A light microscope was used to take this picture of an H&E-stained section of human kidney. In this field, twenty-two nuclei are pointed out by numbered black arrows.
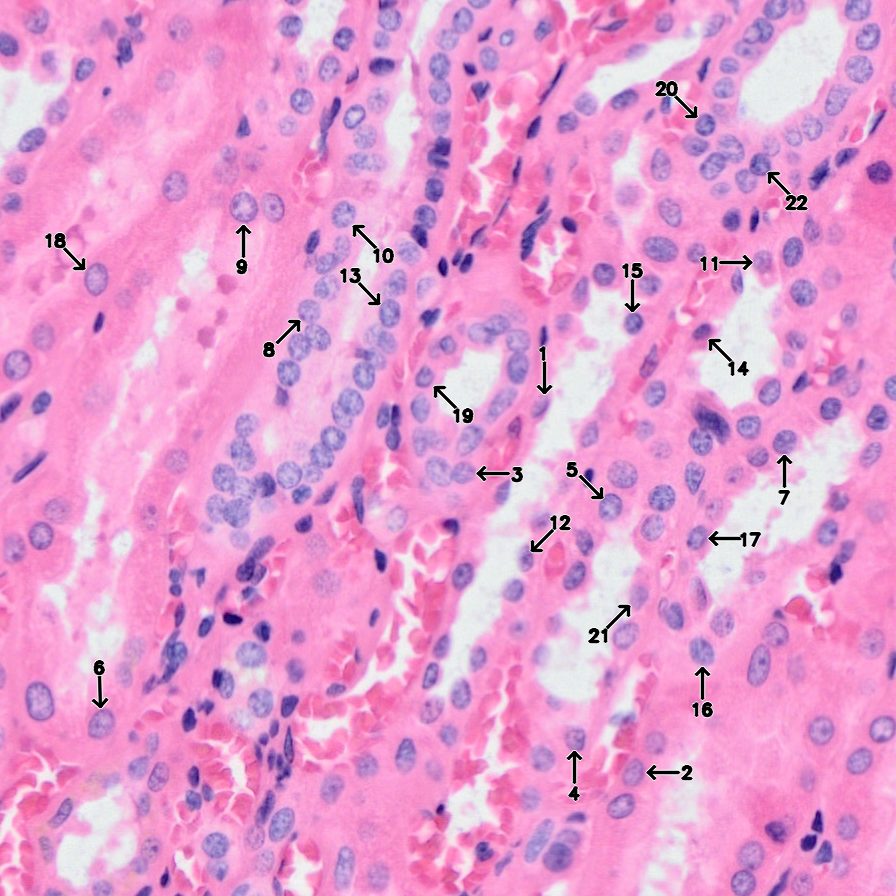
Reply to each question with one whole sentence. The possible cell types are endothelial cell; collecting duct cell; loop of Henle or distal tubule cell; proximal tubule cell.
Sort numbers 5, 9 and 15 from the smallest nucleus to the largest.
From smallest to largest, the order is 15, 5, 9.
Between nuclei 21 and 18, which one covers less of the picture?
With nucleus 18 about 1.5 times its size, nucleus 21 is the smaller of the two.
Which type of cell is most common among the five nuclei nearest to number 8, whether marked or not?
Collecting duct cells account for more than half of the five nuclei nearest to number 8.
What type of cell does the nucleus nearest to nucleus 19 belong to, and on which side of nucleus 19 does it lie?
The nearest nucleus is that of a collecting duct cell and lies below nucleus 19.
